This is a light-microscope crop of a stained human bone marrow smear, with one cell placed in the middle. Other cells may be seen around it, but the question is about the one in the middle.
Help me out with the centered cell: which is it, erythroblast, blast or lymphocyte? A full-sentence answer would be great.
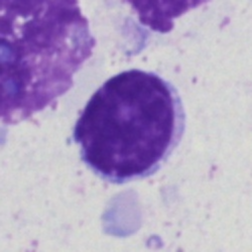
The crop centres on a single cell, and that cell is a lymphocyte.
